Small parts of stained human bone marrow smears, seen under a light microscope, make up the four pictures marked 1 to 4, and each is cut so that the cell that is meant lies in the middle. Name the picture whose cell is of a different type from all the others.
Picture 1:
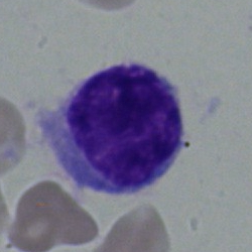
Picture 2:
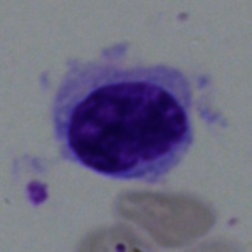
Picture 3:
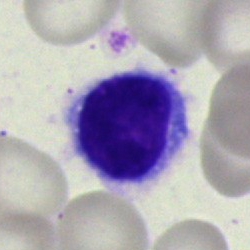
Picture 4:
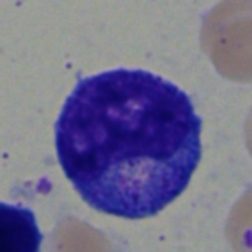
4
